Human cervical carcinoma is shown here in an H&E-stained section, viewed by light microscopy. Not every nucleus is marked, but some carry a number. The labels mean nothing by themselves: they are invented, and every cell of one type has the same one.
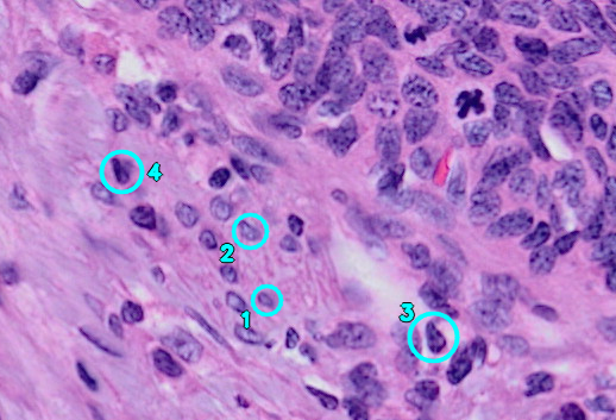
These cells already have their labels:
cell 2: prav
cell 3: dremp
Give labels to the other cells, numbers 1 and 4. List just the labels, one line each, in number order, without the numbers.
prav
dremp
